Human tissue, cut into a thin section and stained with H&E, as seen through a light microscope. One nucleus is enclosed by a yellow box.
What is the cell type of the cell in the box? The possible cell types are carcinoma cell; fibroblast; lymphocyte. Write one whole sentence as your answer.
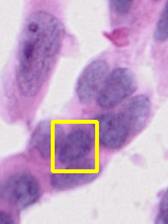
In cell-type terms, the cell in the box is a carcinoma cell.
